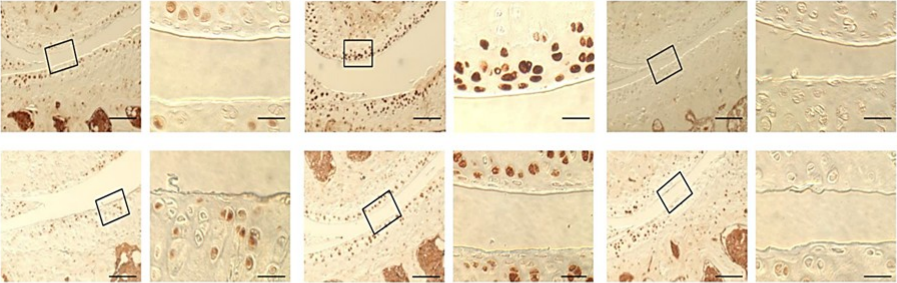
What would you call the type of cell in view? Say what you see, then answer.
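Rounded cells sit singly or in small groups within clear lacunae. The cells are embedded in pale, homogeneous matrix along a joint surface. The answer: chondrocyte.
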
